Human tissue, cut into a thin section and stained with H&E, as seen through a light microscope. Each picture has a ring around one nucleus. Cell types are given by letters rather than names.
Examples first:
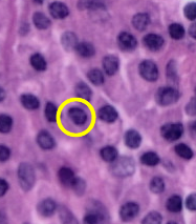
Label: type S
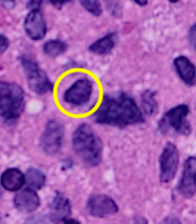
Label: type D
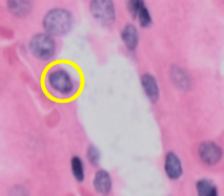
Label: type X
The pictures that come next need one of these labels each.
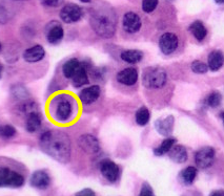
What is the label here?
type S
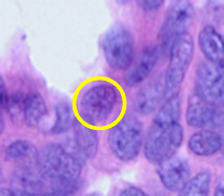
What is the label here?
type D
